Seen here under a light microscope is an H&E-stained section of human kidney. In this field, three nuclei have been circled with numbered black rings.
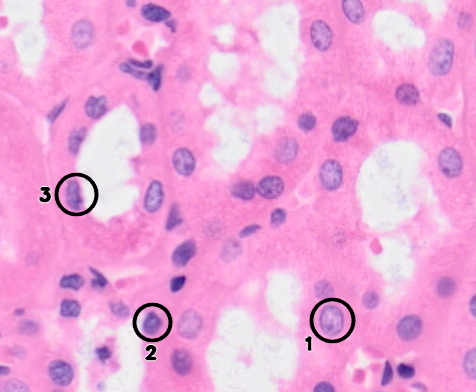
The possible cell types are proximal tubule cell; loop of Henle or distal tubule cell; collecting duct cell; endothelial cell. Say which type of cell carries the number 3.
loop of Henle or distal tubule cell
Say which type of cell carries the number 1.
proximal tubule cell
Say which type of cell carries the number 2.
loop of Henle or distal tubule cell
